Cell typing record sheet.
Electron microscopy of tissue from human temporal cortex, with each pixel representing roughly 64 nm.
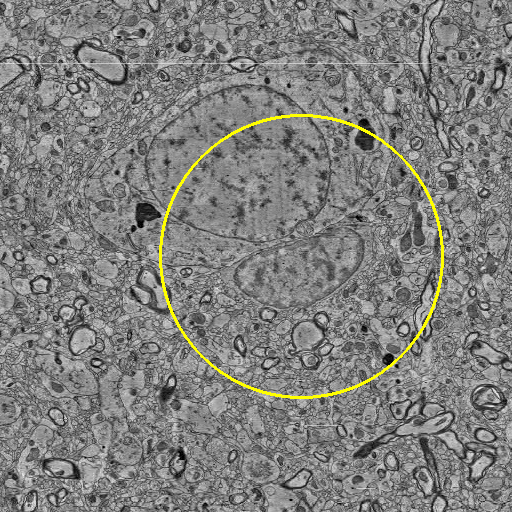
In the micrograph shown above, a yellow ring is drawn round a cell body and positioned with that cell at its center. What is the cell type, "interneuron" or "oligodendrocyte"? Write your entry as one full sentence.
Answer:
The cell body at the center of the ring belongs to an oligodendrocyte.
